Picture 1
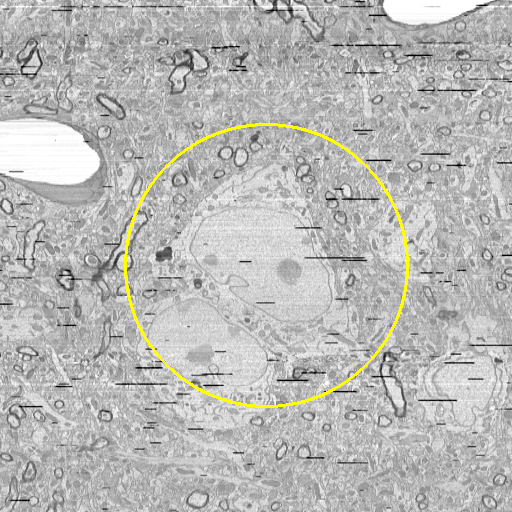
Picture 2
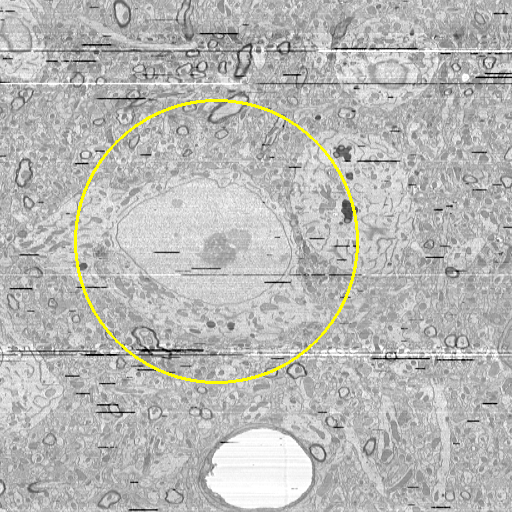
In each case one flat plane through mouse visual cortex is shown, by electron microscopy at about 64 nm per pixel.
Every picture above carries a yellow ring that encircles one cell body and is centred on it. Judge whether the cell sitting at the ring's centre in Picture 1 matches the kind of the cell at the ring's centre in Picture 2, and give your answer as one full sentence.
Yes, the cells centred in the rings of Pictures 1 and 2 belong to one kind.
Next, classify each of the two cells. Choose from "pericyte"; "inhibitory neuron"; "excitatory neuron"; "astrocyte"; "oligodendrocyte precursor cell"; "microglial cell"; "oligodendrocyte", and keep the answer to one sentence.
Each of the two cells is an excitatory neuron.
